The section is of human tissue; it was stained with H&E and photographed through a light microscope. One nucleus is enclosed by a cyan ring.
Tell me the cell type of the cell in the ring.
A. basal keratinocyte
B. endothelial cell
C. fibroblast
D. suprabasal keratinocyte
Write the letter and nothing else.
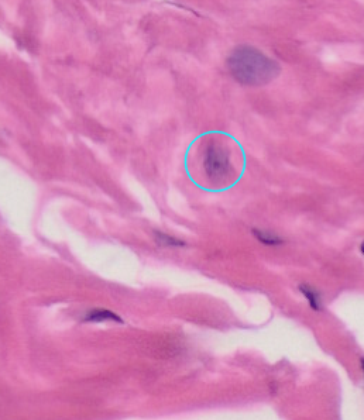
C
